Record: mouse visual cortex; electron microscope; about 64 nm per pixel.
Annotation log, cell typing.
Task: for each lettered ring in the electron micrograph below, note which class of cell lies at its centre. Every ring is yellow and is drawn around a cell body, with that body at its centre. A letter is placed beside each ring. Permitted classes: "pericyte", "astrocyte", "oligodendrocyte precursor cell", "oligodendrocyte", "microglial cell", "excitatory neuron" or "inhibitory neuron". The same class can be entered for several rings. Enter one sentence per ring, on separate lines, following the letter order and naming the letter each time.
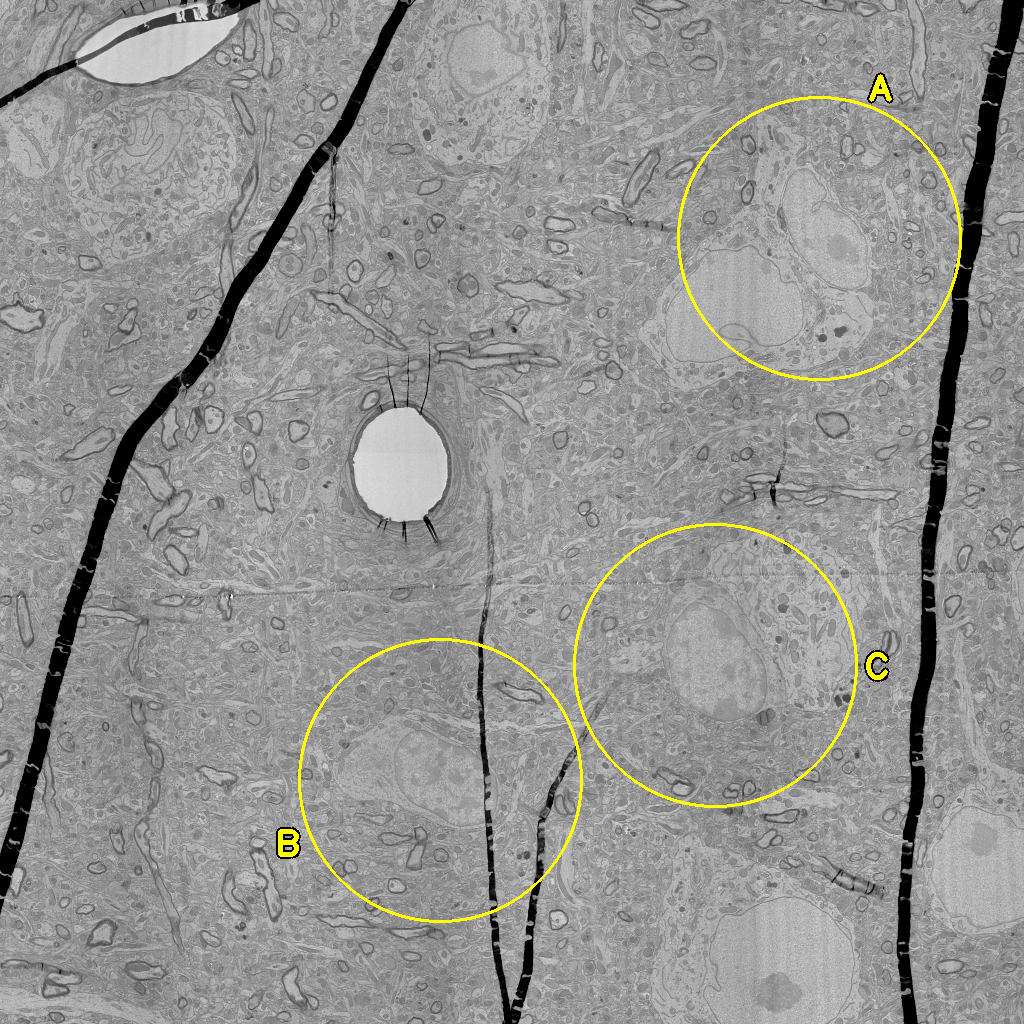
The cell at the centre of ring A is an oligodendrocyte precursor cell.
The cell at the centre of ring B is an oligodendrocyte.
The cell at the centre of ring C is an oligodendrocyte.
